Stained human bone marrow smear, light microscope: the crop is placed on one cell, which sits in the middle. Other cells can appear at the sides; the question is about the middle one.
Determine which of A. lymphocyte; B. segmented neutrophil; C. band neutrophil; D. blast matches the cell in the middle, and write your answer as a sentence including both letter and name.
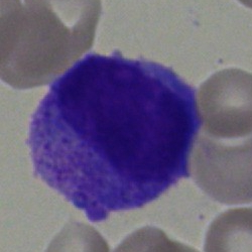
The right choice is option D: the cell in the middle is a blast.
